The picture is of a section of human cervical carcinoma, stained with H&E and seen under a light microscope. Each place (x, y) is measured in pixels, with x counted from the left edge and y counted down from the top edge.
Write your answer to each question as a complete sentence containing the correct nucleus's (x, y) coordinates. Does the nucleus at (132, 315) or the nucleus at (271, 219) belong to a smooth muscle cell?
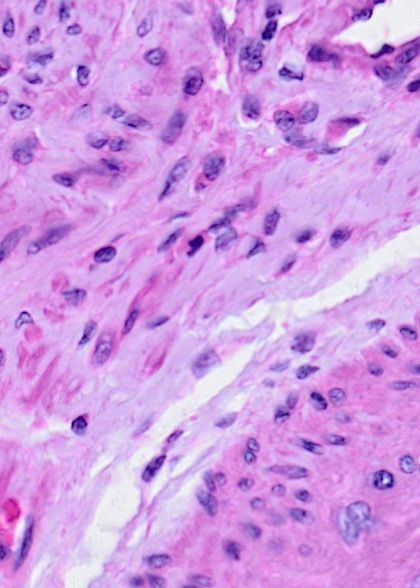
Among the two nuclei, the one lying at (132, 315) is part of a smooth muscle cell.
